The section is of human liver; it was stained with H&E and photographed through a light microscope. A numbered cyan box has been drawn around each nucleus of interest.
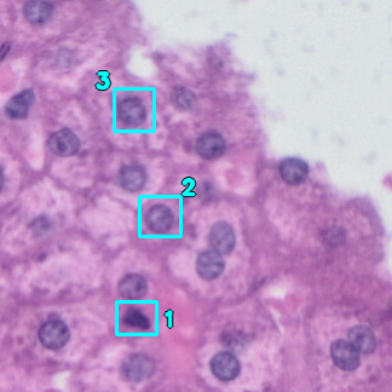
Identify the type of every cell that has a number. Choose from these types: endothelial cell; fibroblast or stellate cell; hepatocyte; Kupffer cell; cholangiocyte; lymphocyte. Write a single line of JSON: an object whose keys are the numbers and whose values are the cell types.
{"1": "fibroblast or stellate cell", "2": "hepatocyte", "3": "hepatocyte"}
